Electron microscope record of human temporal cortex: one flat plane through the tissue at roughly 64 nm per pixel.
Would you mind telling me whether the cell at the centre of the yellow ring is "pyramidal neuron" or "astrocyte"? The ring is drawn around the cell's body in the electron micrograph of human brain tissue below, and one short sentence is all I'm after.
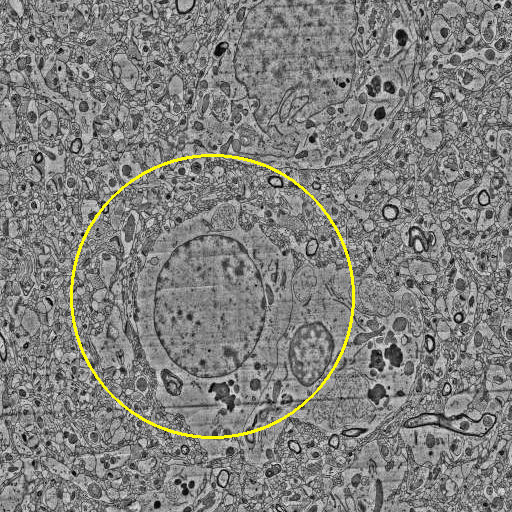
In the centre of the ring lies an astrocyte.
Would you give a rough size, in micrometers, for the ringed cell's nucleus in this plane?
In this plane the nucleus measures roughly 9 by 7 micrometres.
